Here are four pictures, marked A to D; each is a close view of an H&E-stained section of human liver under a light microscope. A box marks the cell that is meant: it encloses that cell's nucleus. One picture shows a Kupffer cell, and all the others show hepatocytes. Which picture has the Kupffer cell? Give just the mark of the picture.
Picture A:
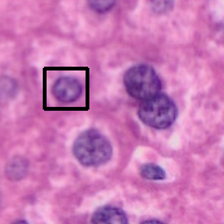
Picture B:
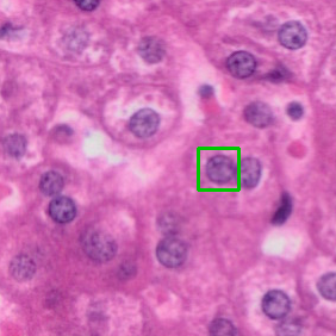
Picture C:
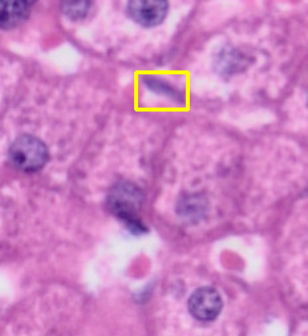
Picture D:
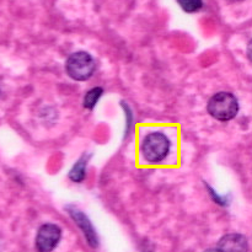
C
